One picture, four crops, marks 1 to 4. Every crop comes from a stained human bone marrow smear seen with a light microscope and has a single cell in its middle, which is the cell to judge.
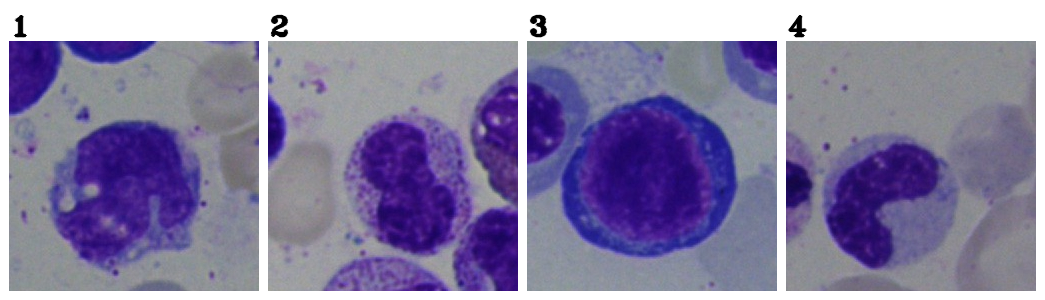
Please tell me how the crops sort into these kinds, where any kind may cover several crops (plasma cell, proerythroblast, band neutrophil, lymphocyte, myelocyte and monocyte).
1: monocyte
2: band neutrophil
3: proerythroblast
4: band neutrophil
